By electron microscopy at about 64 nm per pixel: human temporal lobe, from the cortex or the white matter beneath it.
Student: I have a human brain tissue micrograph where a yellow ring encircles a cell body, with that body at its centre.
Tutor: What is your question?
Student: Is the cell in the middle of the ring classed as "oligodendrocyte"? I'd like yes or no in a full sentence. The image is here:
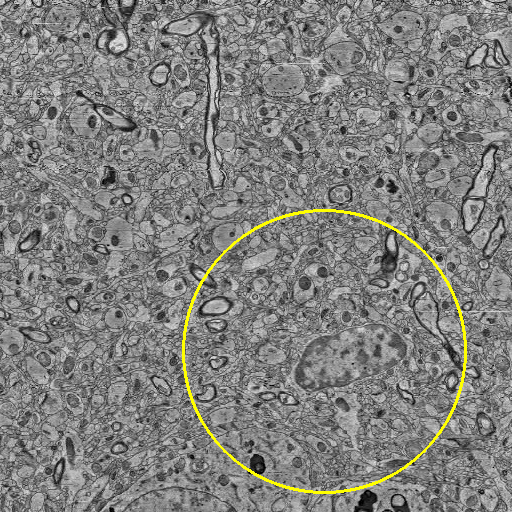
No, the ringed cell in the middle counts as another kind.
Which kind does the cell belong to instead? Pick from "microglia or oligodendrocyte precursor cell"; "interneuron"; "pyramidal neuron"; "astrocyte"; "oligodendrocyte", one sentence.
What the ring is centred on is a microglial cell or oligodendrocyte precursor cell.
